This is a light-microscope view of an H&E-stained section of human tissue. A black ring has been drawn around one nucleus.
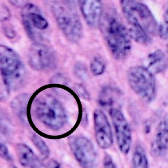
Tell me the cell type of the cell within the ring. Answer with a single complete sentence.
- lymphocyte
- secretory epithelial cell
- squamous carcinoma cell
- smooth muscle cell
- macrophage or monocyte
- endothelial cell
The cell within the ring is a squamous carcinoma cell.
